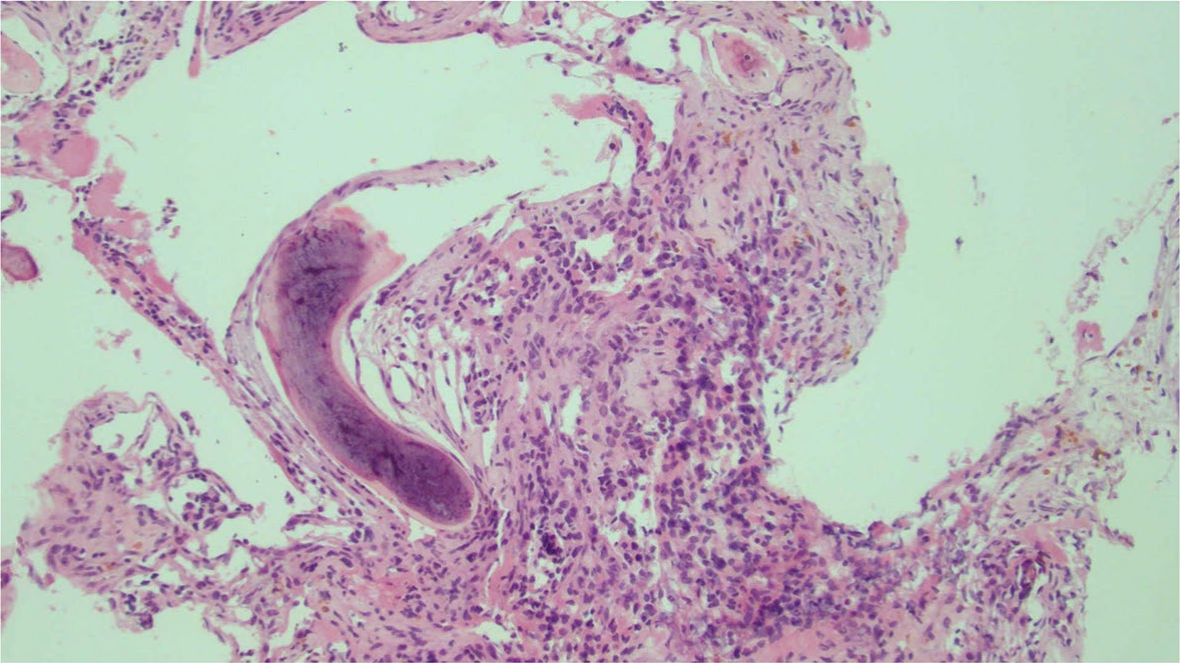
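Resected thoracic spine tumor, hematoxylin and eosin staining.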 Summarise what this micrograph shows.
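Loose pink fibrous tissue with open clear spaces is crowded by sheets of small to medium cells with round to oval, dark purple nuclei and scant pale cytoplasm, filling the spaces between bone. At left a curved, dark purple, acellular band with a thin pink rim stands out, a distorted calcified bone trabecula lying against the cellular tissue. Scattered golden-brown granules in the stroma at right are hemosiderin pigment from old bleeding.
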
